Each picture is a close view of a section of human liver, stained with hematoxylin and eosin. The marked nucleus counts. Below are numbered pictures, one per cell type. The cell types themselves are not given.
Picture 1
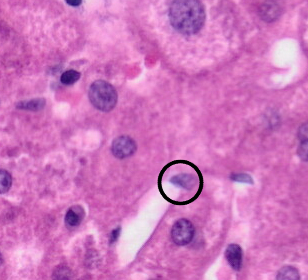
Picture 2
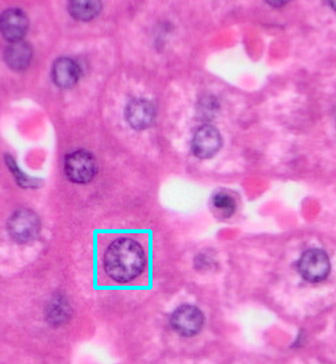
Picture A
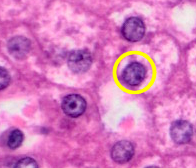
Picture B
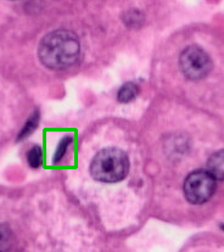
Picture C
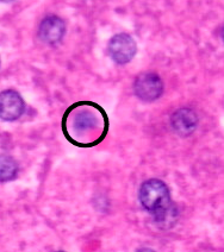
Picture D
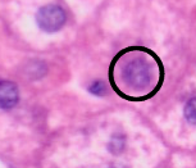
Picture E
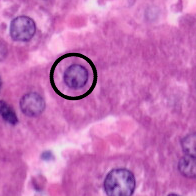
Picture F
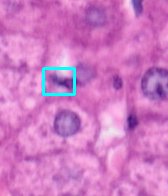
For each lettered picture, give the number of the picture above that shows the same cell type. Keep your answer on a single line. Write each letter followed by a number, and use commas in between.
A 2, B 1, C 1, D 2, E 2, F 1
